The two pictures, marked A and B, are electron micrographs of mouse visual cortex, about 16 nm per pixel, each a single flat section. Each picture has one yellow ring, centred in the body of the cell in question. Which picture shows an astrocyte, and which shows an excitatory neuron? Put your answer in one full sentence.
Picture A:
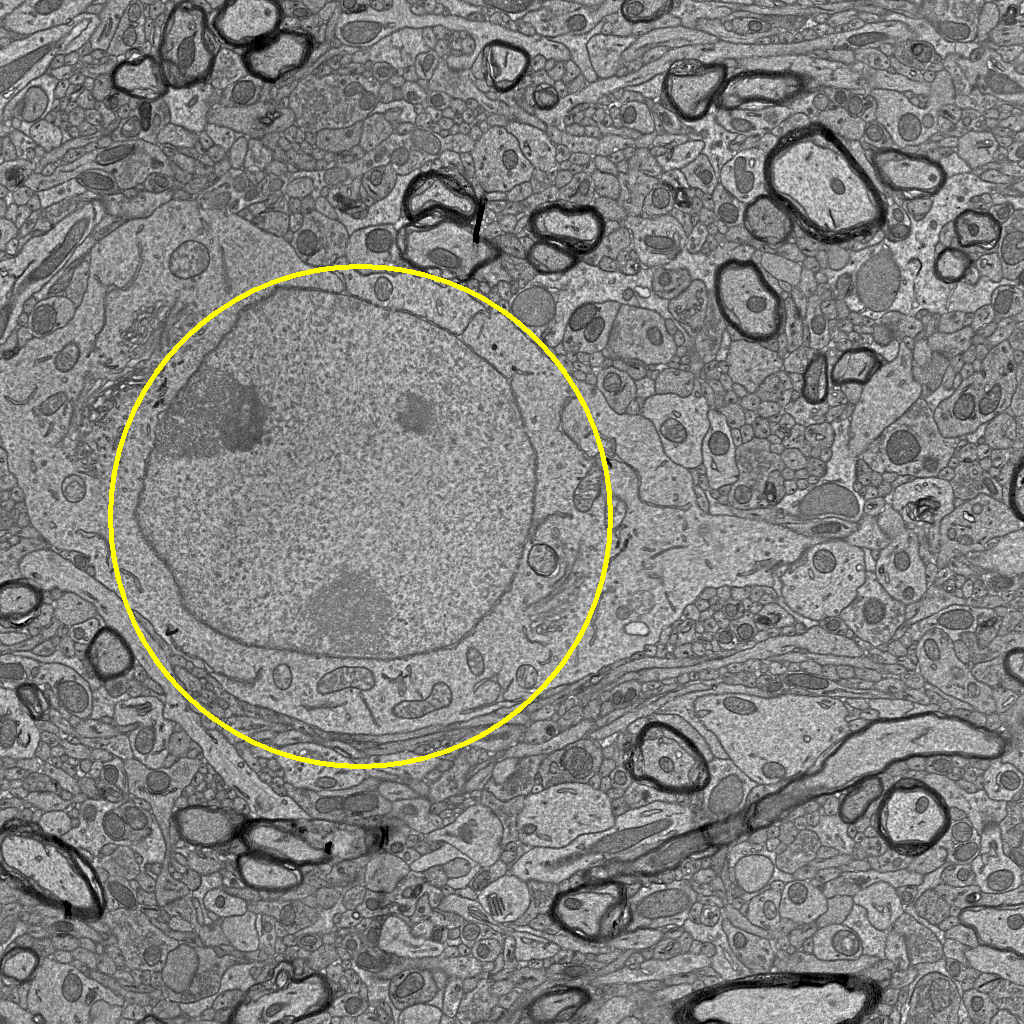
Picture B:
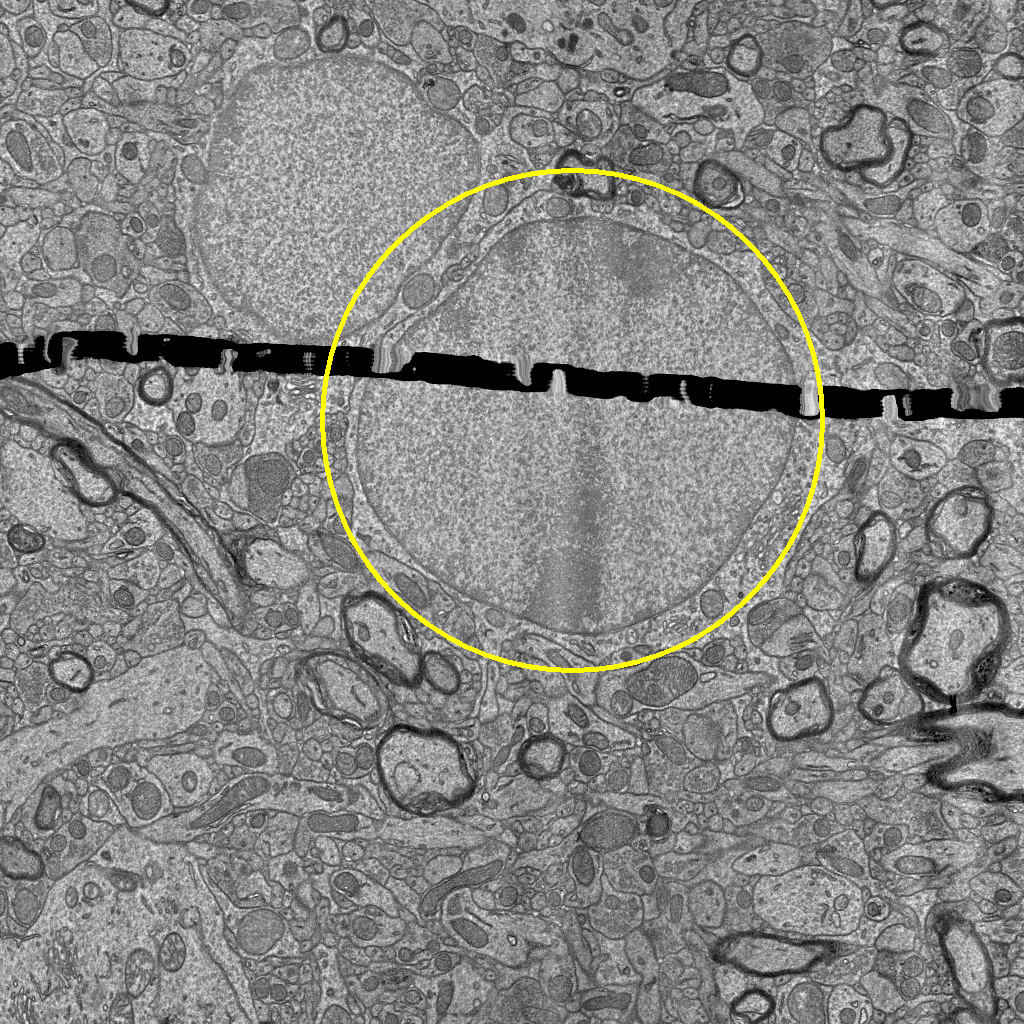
Picture B shows an astrocyte, while picture A shows an excitatory neuron.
